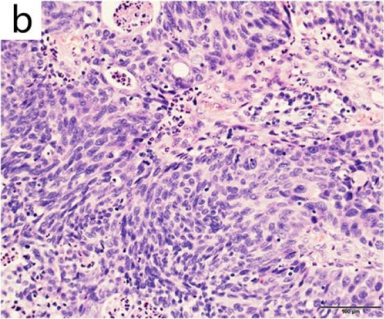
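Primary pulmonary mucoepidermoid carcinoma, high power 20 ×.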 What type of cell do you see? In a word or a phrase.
atypical epidermal and intermediate cells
